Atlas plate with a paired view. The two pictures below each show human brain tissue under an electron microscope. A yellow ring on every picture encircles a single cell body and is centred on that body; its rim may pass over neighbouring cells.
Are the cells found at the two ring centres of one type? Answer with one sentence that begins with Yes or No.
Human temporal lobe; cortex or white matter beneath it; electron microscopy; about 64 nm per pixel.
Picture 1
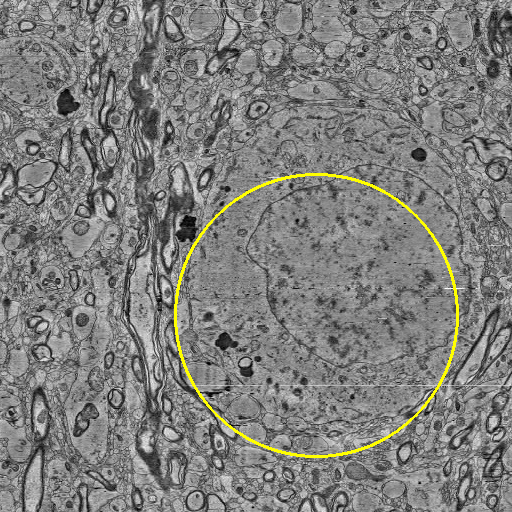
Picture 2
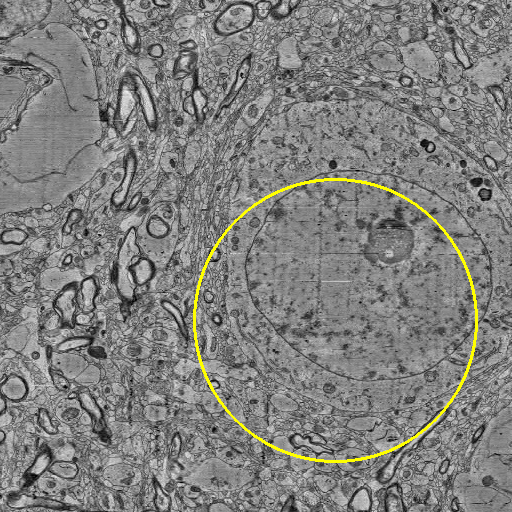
Yes, the two cells lying at the centres of the rings share a single type.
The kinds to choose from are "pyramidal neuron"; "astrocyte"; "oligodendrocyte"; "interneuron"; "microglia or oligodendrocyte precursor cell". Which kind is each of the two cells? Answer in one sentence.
Both the first and the second picture show a pyramidal neuron in the ring.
